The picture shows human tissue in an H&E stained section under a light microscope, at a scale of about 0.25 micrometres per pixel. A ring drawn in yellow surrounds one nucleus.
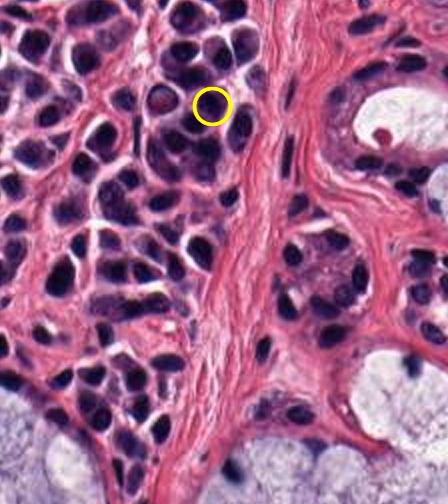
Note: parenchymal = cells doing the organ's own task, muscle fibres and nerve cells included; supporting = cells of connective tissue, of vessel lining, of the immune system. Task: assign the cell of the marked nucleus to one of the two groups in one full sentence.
The marked nucleus is seen within a supporting cell.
